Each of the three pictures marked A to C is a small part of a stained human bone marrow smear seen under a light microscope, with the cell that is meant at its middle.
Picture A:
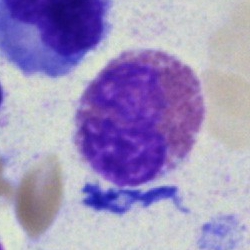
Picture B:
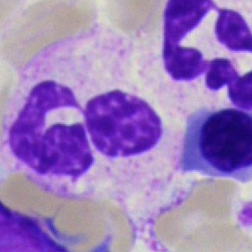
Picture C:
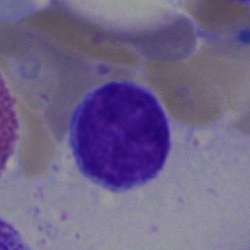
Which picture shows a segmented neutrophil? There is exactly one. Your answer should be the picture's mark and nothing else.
B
